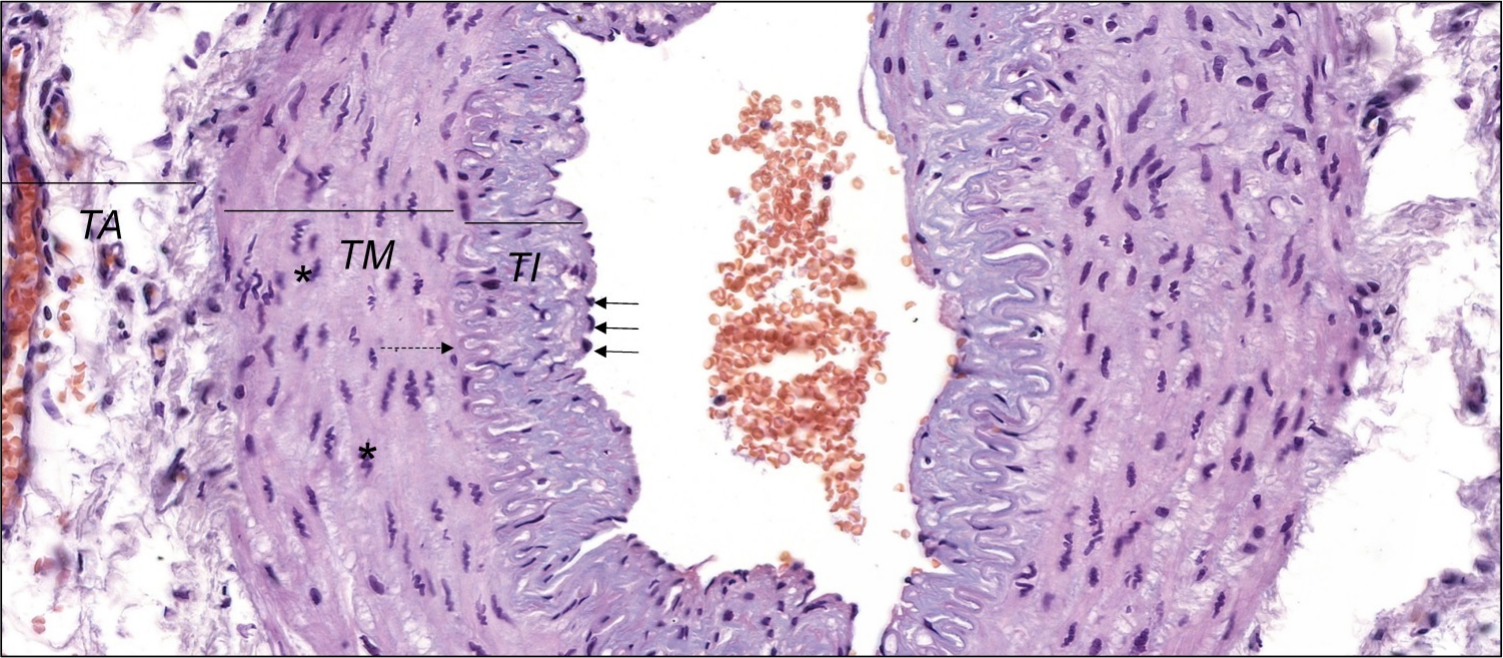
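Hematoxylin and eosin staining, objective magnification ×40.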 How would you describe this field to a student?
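This is the wall of a muscular artery in cross-section, with red blood cells lying in the central lumen. The innermost layer lines the lumen with a single row of small, flattened, dark nuclei of endothelial cells. Beneath it runs a strongly wavy, corrugated, bluish-purple band, the internal elastic lamina. Outside this lies the thick middle layer of pink, concentric layers of smooth muscle, whose nuclei are elongated and often wavy or corkscrew-shaped and aligned around the vessel. At the outer edge, a looser, paler connective tissue layer holds scattered nuclei and small blood vessels filled with red cells.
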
